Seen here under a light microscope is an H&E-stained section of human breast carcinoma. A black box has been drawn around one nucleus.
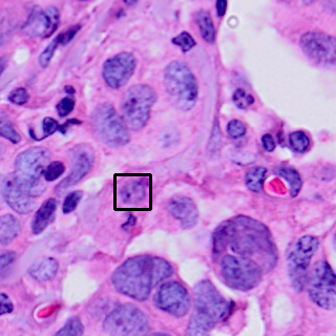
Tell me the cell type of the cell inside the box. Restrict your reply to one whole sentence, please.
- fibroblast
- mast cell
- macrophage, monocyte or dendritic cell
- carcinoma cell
What the cell inside the box represents is a macrophage, monocyte or dendritic cell.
